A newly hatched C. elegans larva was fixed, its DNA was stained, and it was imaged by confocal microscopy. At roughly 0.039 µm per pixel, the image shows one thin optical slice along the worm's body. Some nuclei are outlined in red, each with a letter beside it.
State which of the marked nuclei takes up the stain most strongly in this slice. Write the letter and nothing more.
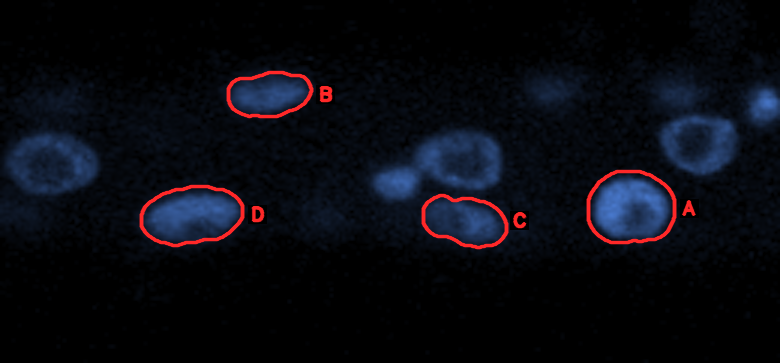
A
